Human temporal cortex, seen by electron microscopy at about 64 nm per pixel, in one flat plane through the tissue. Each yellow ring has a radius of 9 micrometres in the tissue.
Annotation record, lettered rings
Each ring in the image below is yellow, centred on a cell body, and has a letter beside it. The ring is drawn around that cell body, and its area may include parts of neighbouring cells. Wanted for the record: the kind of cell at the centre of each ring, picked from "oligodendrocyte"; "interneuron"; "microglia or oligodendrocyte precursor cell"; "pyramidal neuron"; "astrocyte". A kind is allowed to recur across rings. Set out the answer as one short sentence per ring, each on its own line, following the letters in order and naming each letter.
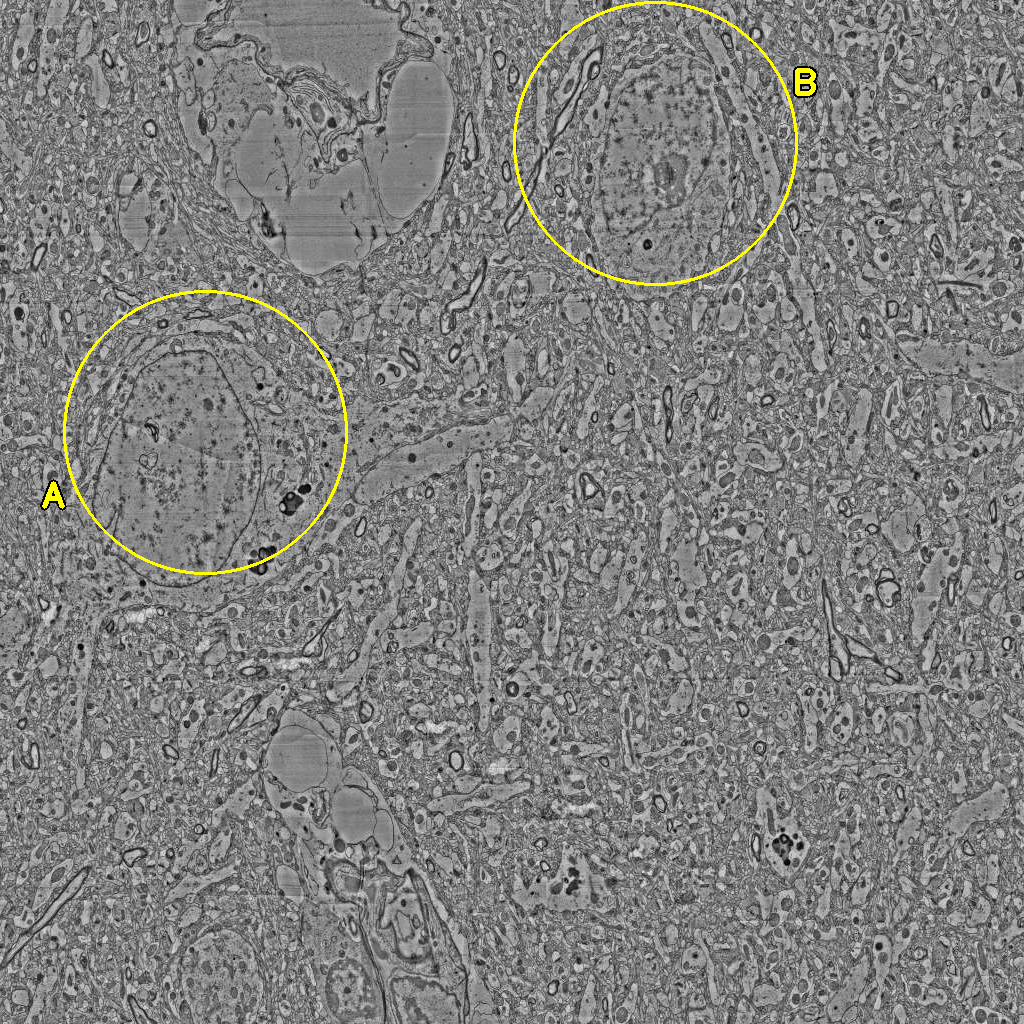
Ring A was drawn on a pyramidal neuron.
Ring B was drawn on an interneuron.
